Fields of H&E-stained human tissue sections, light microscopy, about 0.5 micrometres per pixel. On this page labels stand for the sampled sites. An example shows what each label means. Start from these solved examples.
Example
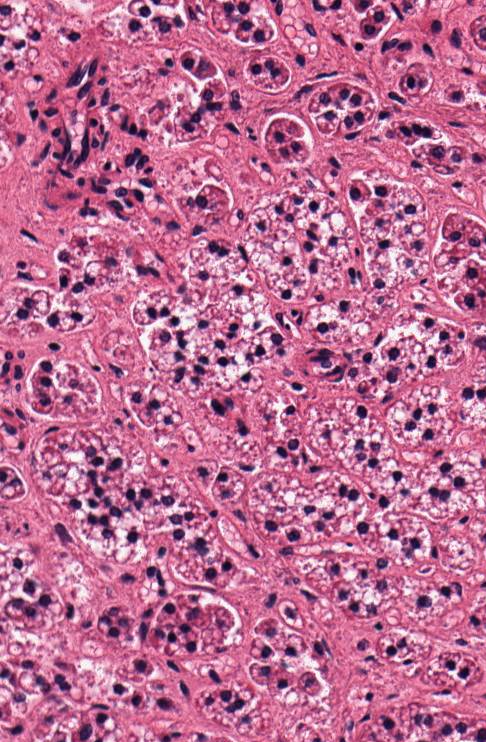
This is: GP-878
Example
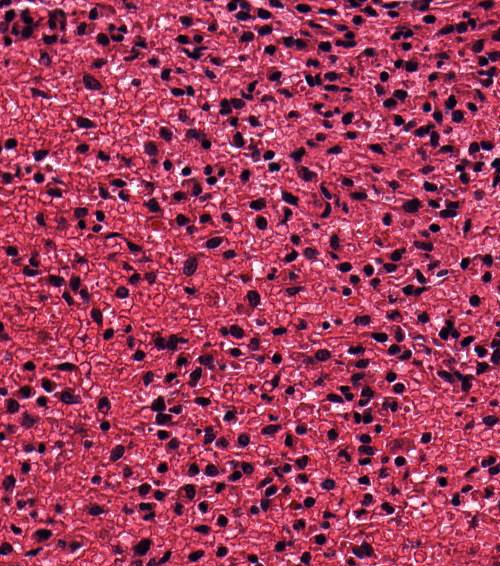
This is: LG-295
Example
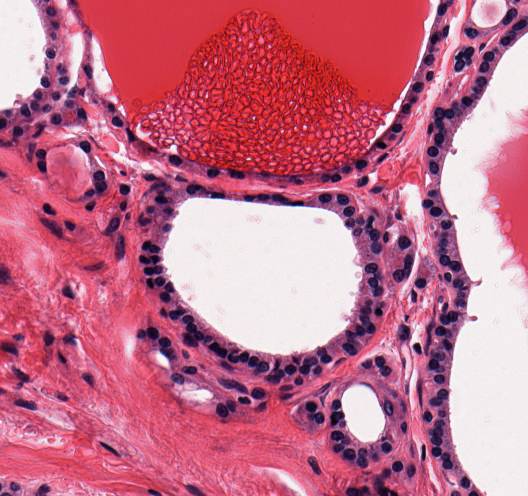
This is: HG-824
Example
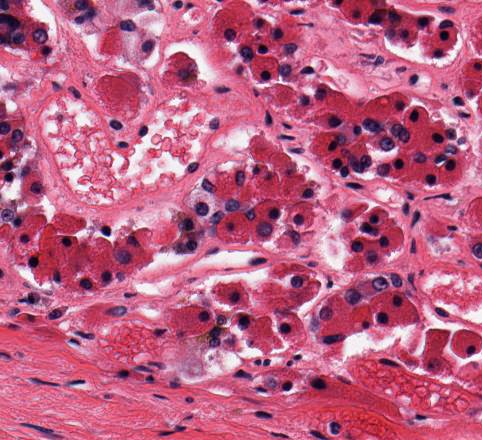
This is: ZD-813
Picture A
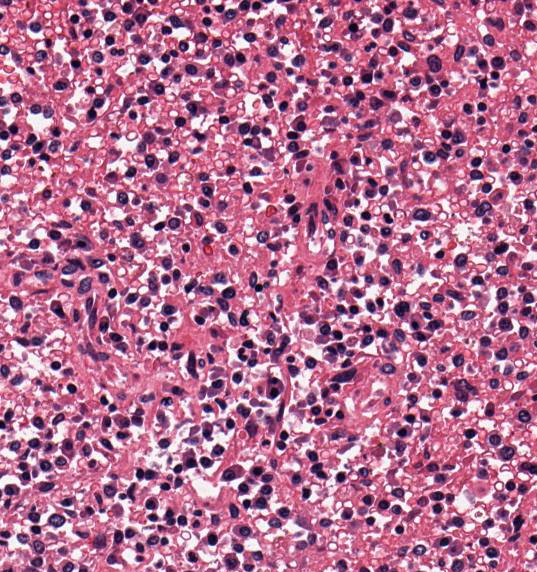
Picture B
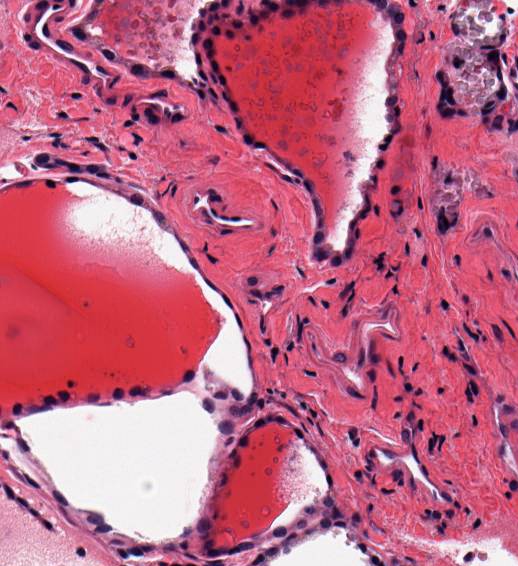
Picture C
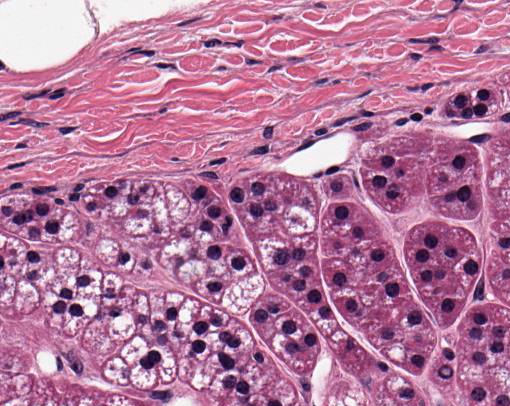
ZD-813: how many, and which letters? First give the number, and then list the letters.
0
